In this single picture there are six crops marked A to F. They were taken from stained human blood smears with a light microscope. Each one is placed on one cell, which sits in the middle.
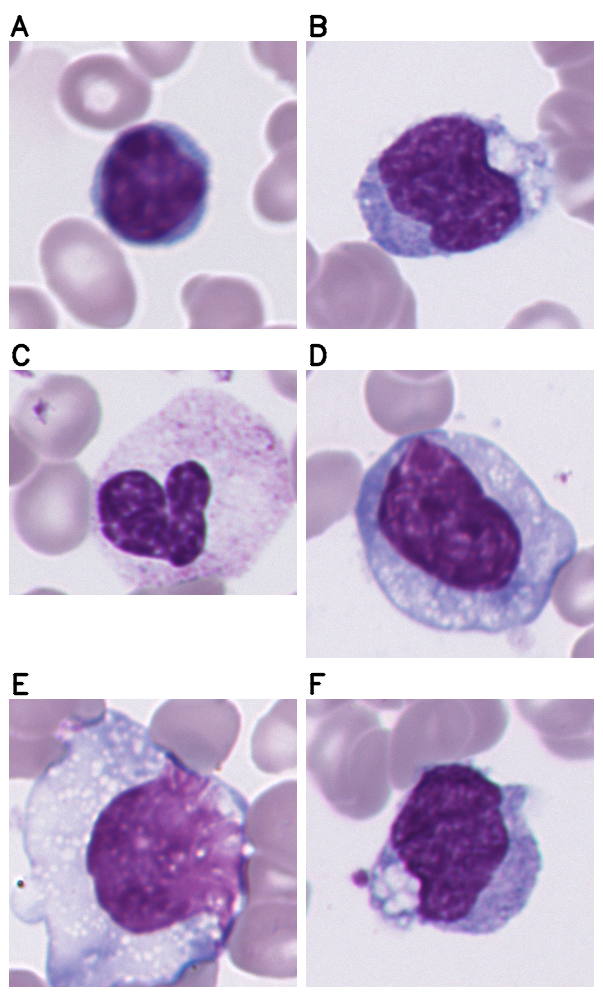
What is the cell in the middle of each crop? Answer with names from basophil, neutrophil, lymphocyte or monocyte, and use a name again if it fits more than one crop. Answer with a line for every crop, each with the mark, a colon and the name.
A: lymphocyte
B: monocyte
C: neutrophil
D: monocyte
E: monocyte
F: monocyte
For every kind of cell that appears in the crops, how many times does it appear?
monocyte: 4
lymphocyte: 1
neutrophil: 1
